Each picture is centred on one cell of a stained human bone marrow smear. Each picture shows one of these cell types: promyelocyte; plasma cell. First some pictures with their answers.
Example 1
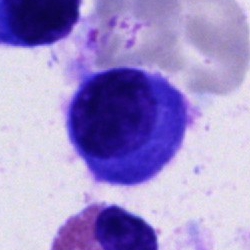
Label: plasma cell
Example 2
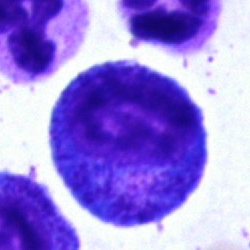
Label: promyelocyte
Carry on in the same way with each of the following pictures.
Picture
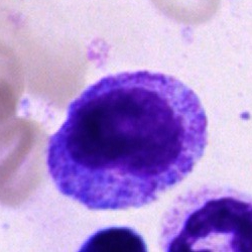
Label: promyelocyte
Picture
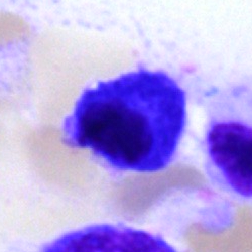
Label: plasma cell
